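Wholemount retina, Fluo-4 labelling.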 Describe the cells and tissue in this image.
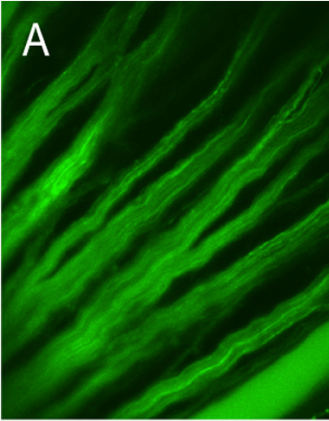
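The fibres are grouped into bundles of varying width, separated by narrow dark gaps. Within the bundles, individual strands can be followed for long distances, and some are brighter than their neighbours. No cell bodies or nuclei are visible among the fibres. A broad, more uniformly bright band lies along the lower right edge.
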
